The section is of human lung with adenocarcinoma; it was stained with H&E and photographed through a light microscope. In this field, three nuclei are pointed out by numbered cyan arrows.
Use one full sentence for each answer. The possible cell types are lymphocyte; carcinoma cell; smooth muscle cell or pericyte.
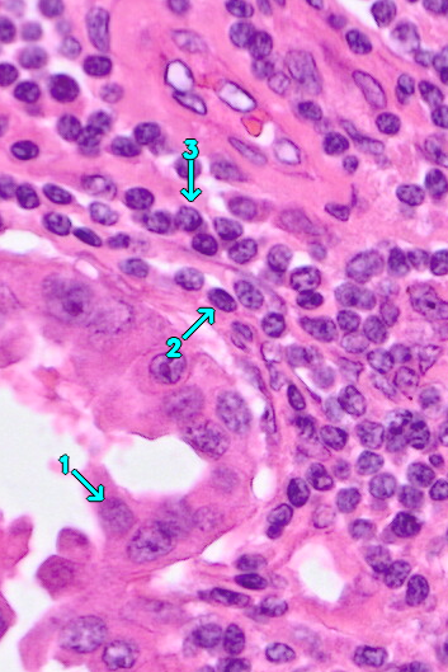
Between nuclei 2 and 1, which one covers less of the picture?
With nucleus 1 about 2 times its size, nucleus 2 is the smaller of the two.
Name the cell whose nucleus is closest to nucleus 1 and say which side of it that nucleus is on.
The closest nucleus belongs to a carcinoma cell and sits below and to the right of nucleus 1.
